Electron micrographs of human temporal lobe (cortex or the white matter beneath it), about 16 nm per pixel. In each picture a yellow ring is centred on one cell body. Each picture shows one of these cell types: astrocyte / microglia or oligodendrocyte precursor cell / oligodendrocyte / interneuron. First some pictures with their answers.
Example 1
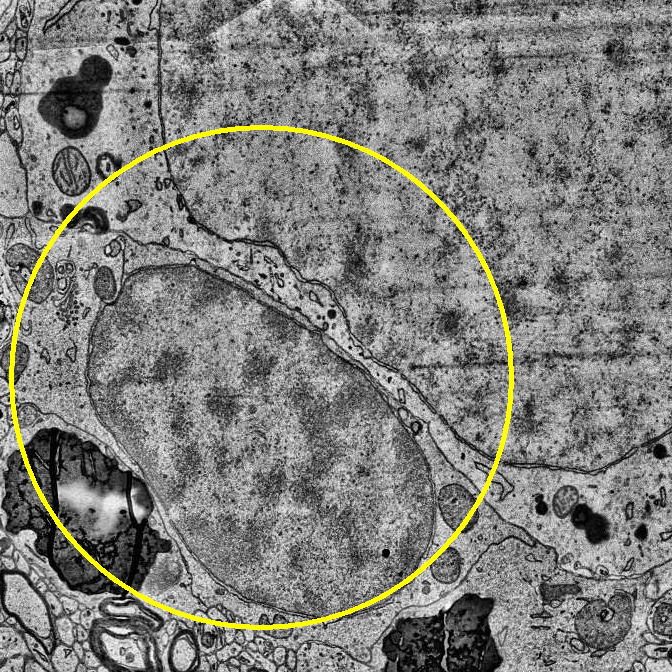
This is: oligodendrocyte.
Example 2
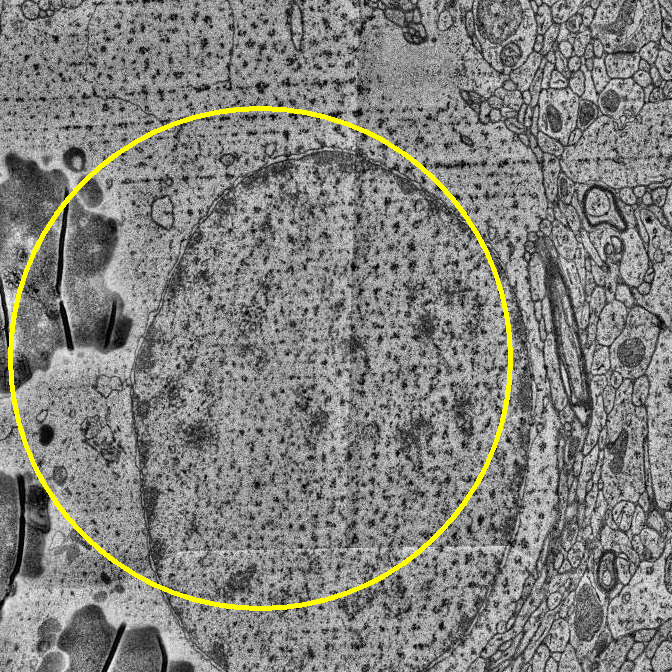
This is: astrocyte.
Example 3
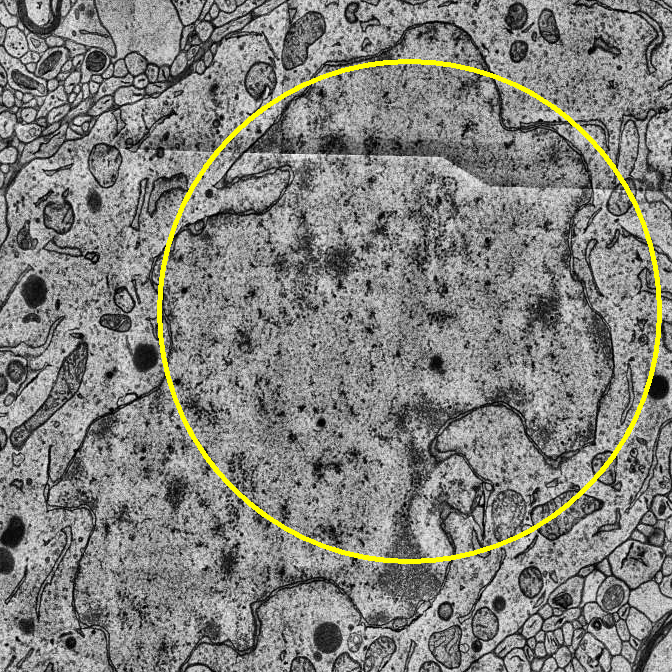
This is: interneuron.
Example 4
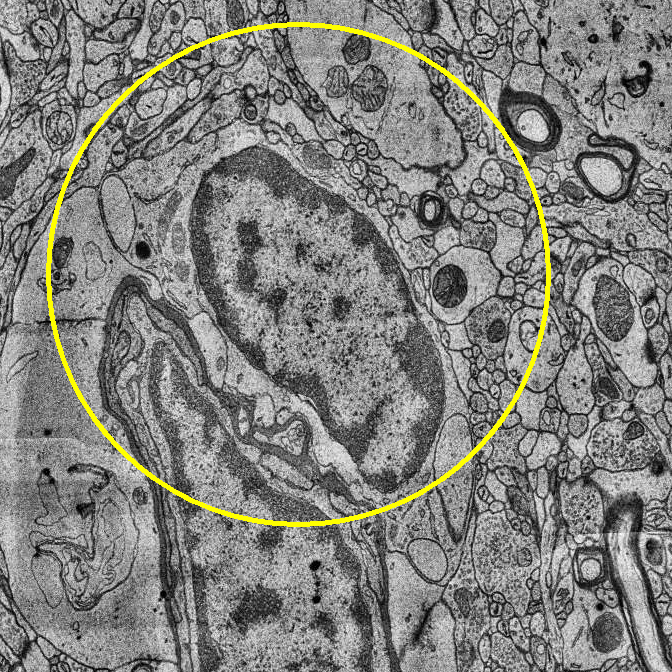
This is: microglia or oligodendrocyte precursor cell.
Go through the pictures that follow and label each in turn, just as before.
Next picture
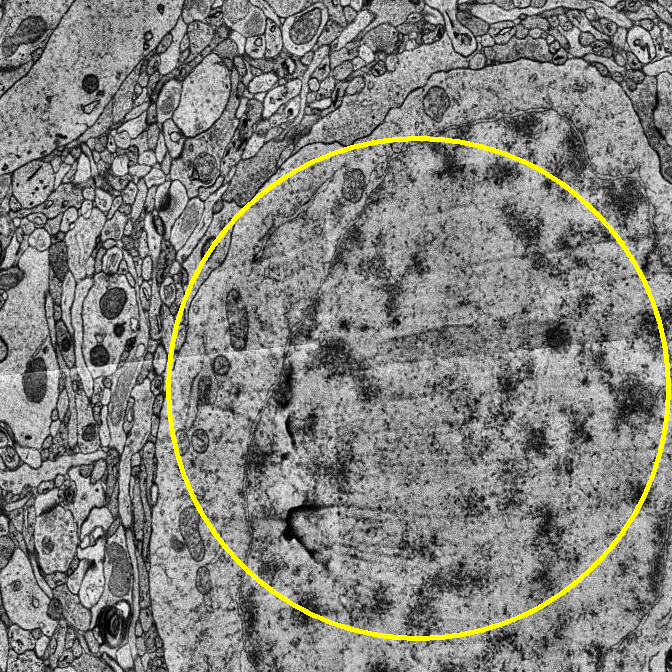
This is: interneuron.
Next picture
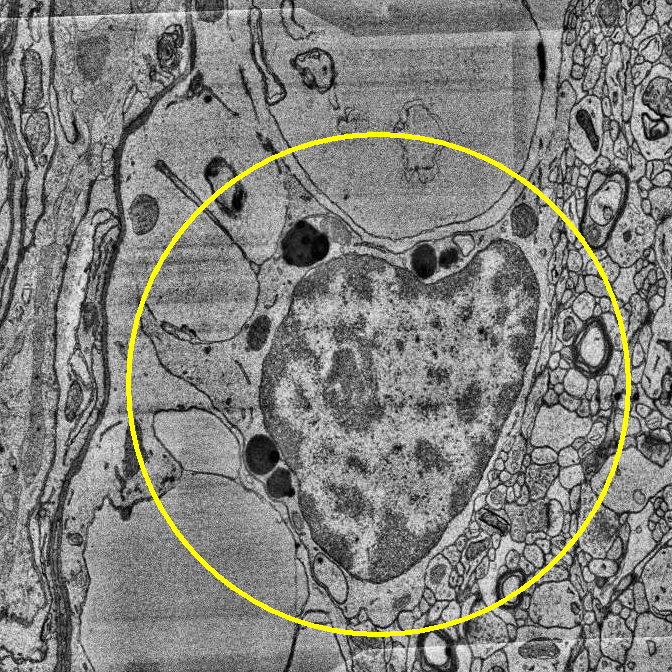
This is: microglia or oligodendrocyte precursor cell.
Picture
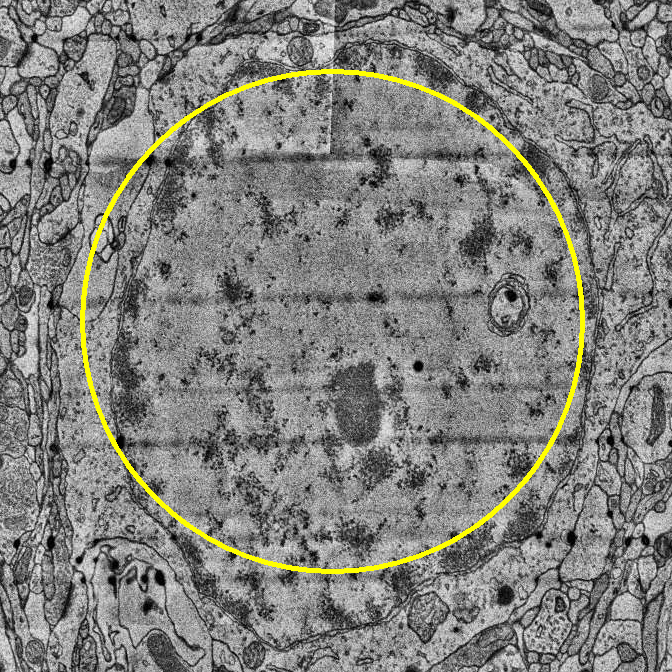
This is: interneuron.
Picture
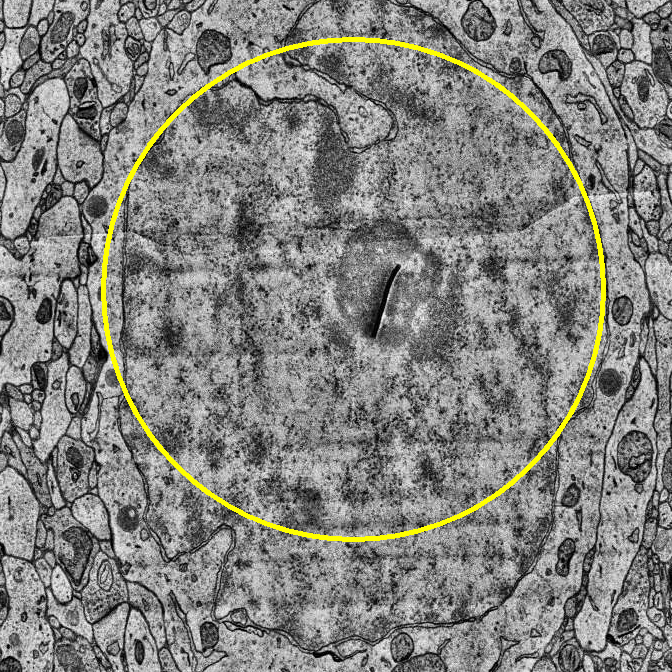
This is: interneuron.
